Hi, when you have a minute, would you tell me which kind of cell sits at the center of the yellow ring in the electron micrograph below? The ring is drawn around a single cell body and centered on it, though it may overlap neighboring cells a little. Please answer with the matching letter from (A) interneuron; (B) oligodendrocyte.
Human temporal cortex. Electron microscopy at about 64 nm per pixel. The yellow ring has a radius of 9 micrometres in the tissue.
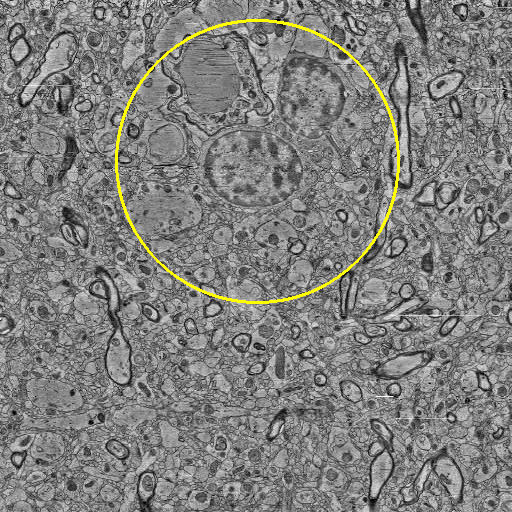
B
